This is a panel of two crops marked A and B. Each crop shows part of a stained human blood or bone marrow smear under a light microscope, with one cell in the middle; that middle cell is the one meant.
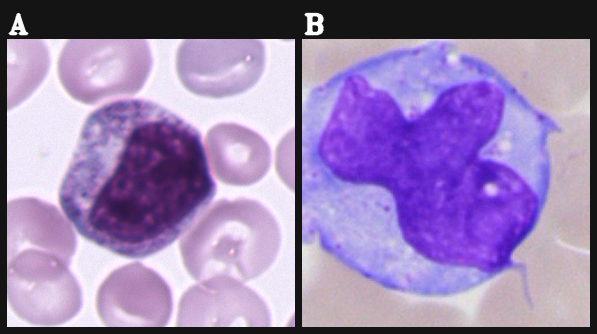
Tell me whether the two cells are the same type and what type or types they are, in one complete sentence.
No, the assignment should read crop A, a metamyelocyte; crop B, a monocyte.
